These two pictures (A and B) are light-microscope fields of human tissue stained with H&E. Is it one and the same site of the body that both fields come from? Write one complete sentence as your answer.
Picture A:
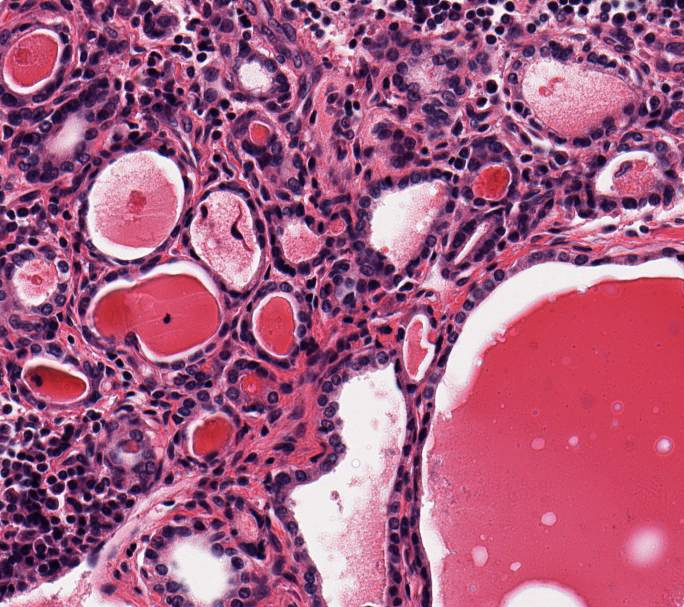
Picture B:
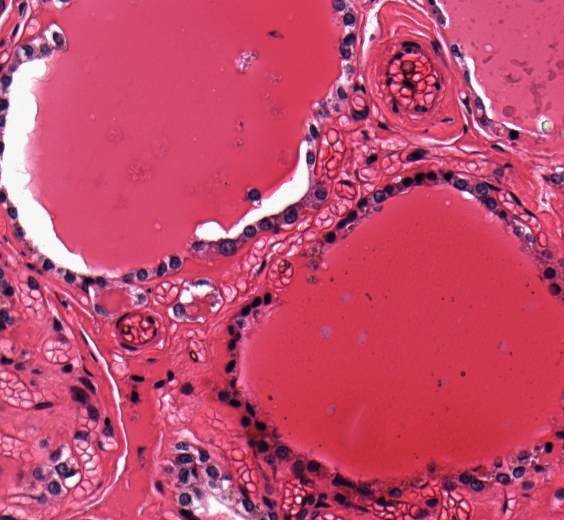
Yes; both pictures come from the thyroid.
